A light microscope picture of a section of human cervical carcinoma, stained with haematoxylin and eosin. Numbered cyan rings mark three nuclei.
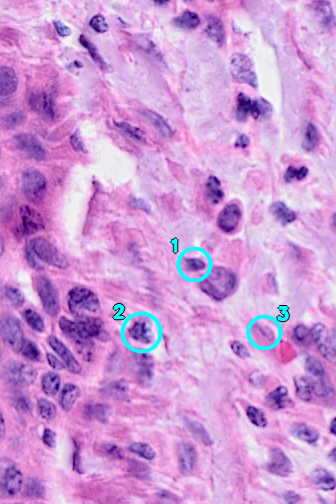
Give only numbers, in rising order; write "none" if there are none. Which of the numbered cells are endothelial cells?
3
